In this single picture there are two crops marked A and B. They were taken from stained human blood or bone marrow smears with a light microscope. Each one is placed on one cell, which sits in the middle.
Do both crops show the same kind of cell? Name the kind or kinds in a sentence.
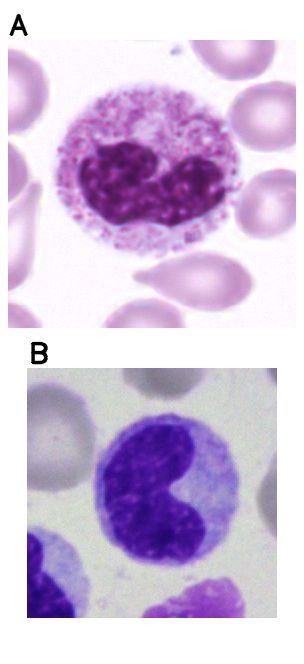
No, crop A is the one with a band neutrophil; crop B has a metamyelocyte.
